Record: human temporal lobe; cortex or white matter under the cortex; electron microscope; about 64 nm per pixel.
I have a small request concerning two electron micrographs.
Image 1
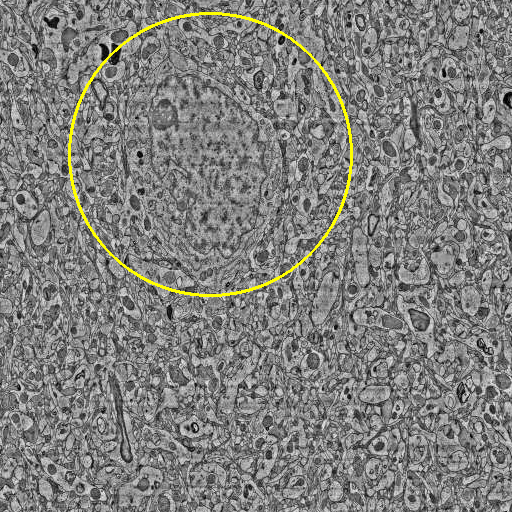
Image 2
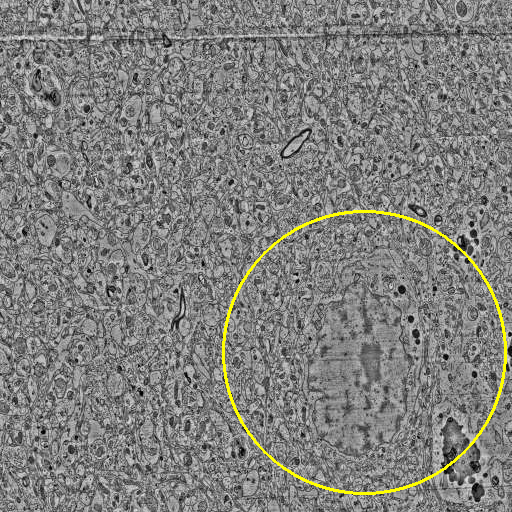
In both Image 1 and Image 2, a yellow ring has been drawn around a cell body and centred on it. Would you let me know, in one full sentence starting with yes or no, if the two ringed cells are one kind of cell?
Yes, the cells ringed in Image 1 and Image 2 are one kind of cell.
